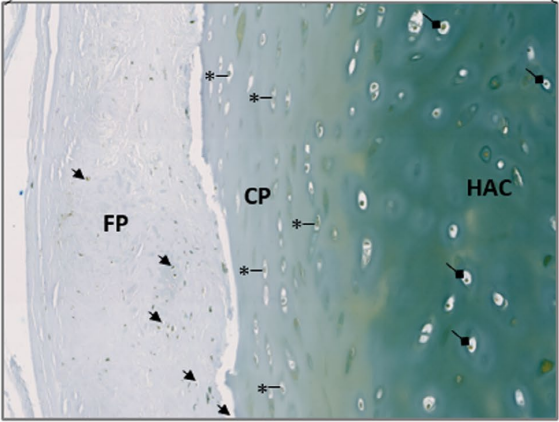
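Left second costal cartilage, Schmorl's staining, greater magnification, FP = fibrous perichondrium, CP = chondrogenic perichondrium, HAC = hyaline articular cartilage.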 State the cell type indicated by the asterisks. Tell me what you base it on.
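The marked cells lie in the pale blue-grey middle band next to the fibrous layer. They are small, flattened cells in small lacunae. That points to this answer: chondroblasts.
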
